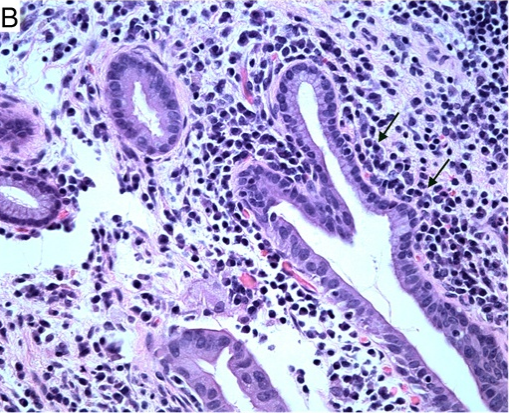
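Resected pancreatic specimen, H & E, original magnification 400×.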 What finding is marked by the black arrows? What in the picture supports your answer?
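The arrows point to stroma packed with small round cells with dark nuclei. Some of these cells have more cytoplasm and off-centre nuclei. The cells crowd right up against the glandular epithelium.
Conclusion: lymphoplasmatic infiltration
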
